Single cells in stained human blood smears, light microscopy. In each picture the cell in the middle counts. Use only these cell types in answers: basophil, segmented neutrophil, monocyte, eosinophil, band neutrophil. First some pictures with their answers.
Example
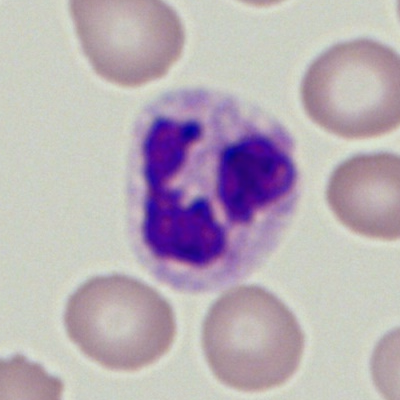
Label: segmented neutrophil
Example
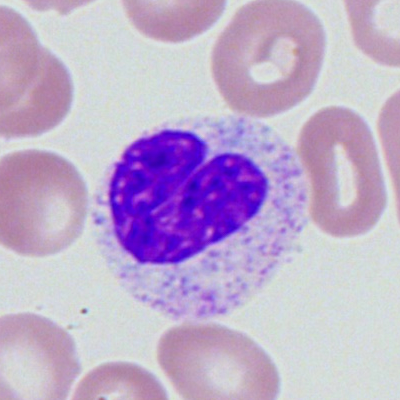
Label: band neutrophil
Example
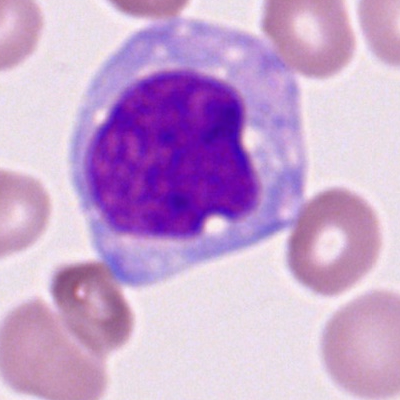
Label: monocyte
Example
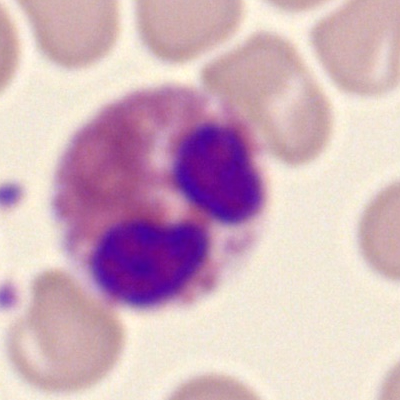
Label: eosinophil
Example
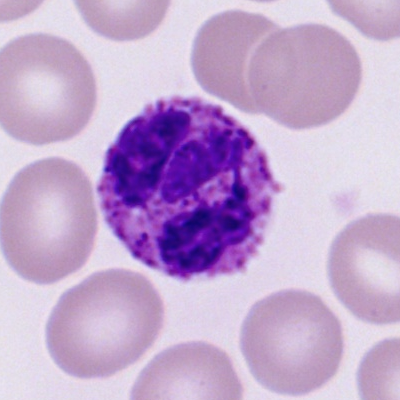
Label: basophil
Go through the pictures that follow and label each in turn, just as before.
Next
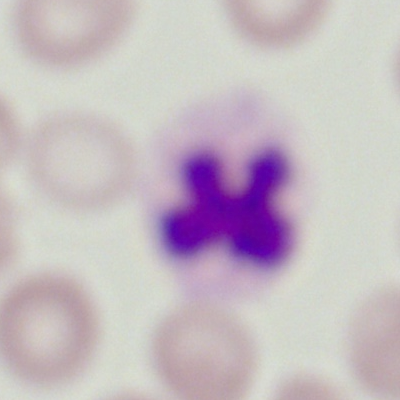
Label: segmented neutrophil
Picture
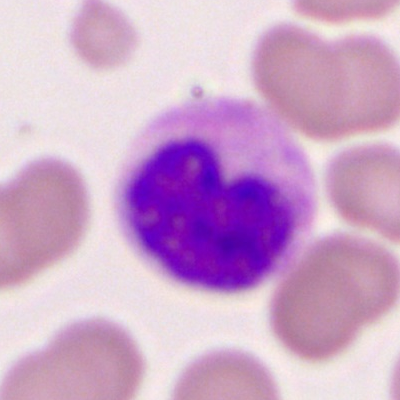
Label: band neutrophil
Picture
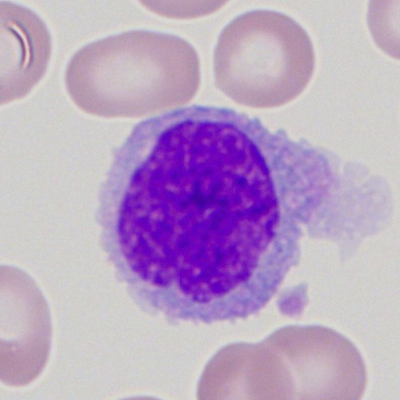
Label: monocyte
